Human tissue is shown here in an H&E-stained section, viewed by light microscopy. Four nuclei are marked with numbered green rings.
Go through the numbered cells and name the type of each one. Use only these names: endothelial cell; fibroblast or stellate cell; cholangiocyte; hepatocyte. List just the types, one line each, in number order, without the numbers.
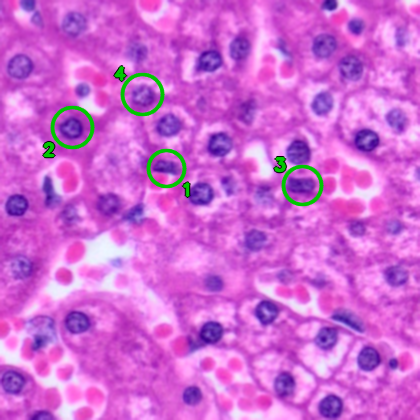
endothelial cell
hepatocyte
fibroblast or stellate cell
hepatocyte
